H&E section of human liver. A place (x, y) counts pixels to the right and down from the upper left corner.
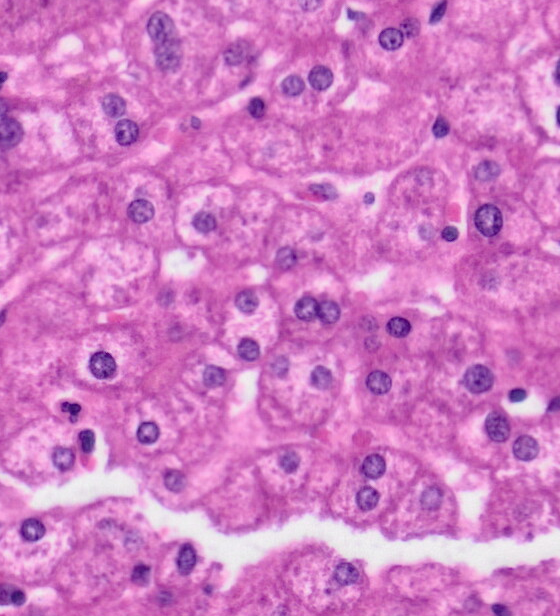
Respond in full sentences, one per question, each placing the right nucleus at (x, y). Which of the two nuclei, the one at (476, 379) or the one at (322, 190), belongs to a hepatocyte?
Housed in a hepatocyte is the nucleus at (476, 379), not the other one.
